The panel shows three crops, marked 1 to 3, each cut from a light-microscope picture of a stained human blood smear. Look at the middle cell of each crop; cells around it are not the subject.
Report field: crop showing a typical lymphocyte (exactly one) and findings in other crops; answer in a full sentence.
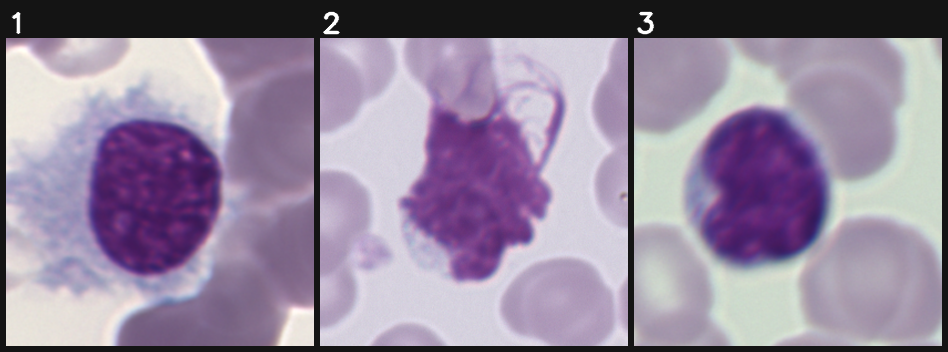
Crop 3 counts as a typical lymphocyte, while crop 1 is a hairy cell and crop 2 is a smudge cell.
